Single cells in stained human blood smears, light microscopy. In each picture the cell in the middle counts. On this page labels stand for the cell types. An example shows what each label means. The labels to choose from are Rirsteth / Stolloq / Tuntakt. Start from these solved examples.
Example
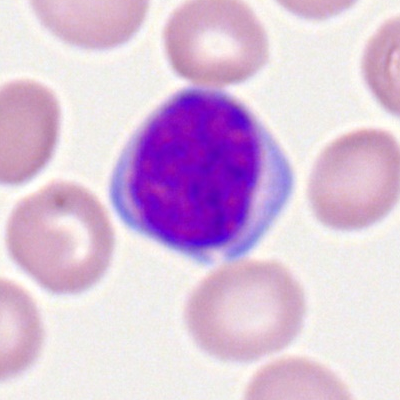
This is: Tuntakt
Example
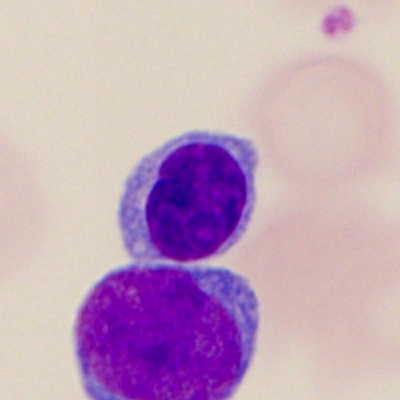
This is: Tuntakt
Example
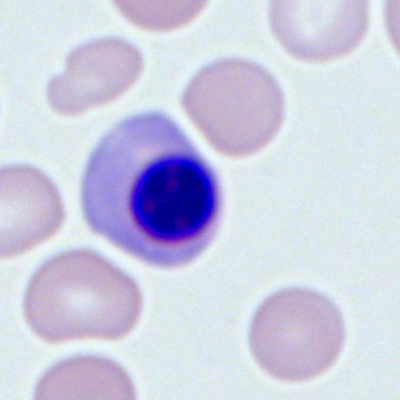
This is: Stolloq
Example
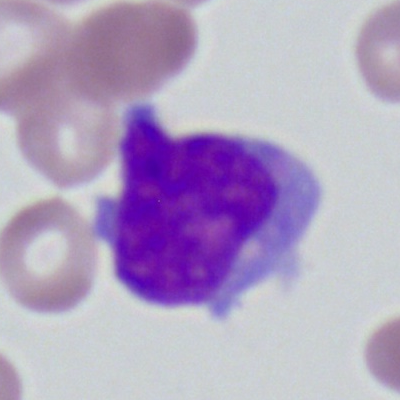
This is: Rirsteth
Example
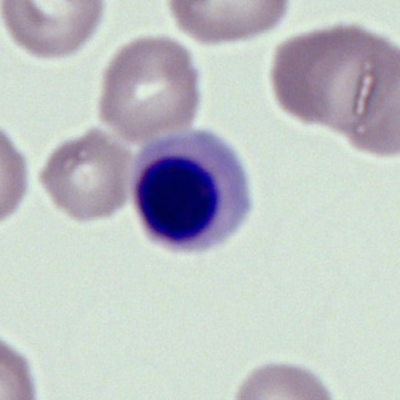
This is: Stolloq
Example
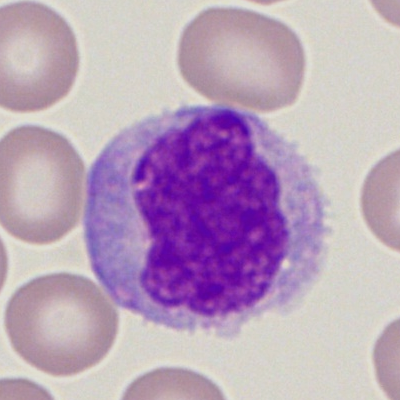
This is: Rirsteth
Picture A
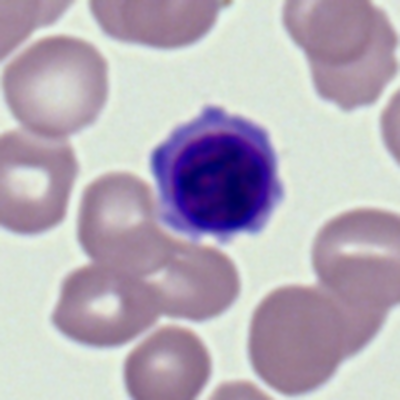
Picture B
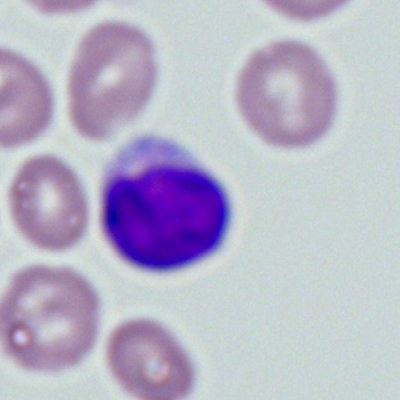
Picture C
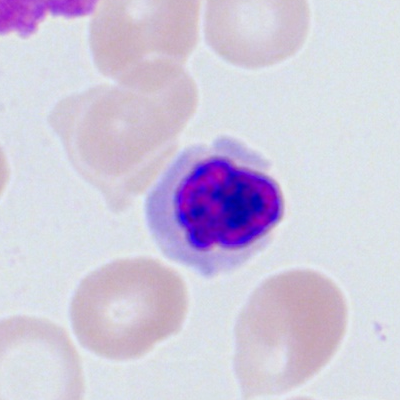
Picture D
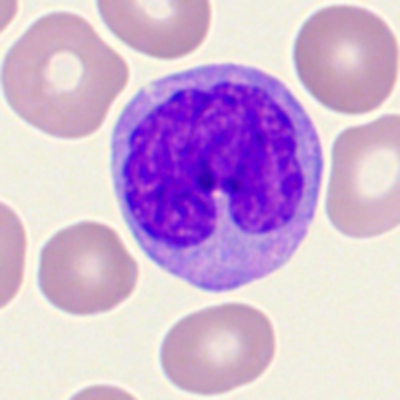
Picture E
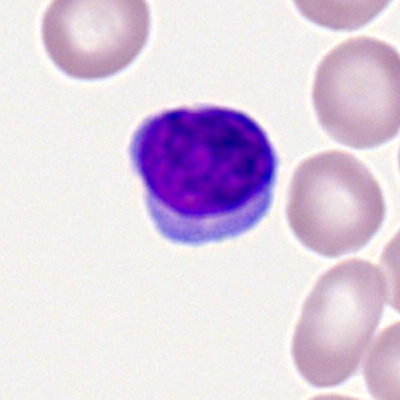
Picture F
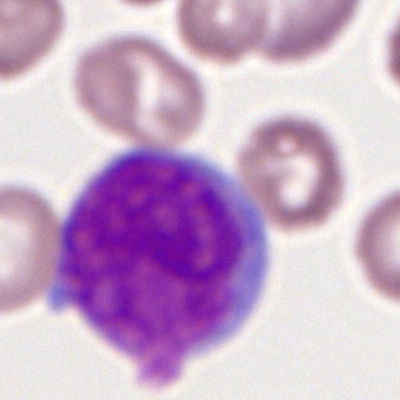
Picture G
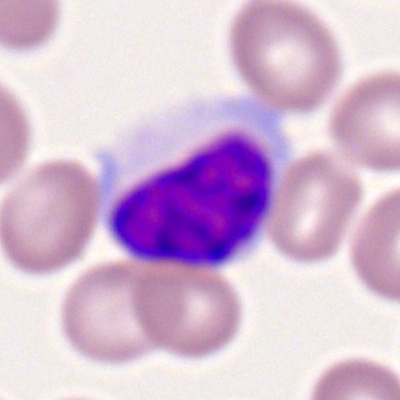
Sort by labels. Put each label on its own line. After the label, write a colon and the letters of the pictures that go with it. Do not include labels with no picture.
Rirsteth: D, F
Stolloq: A, C
Tuntakt: B, E, G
